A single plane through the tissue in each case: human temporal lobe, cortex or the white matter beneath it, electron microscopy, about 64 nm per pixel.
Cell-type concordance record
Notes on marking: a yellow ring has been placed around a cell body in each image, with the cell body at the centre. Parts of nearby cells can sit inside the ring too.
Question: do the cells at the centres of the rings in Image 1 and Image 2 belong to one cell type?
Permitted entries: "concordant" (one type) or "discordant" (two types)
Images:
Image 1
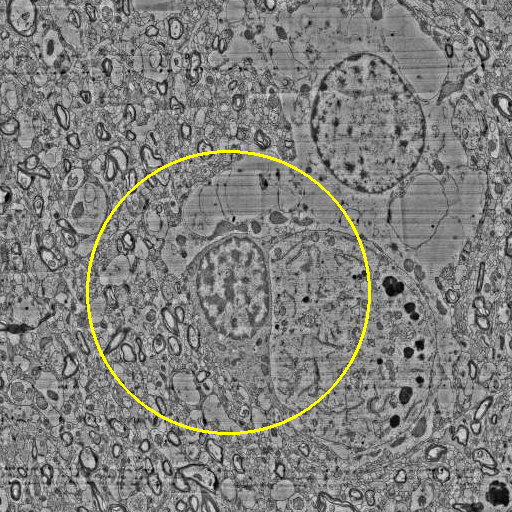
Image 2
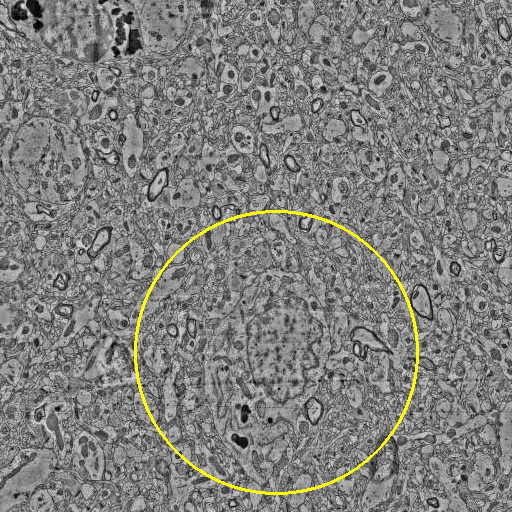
discordant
